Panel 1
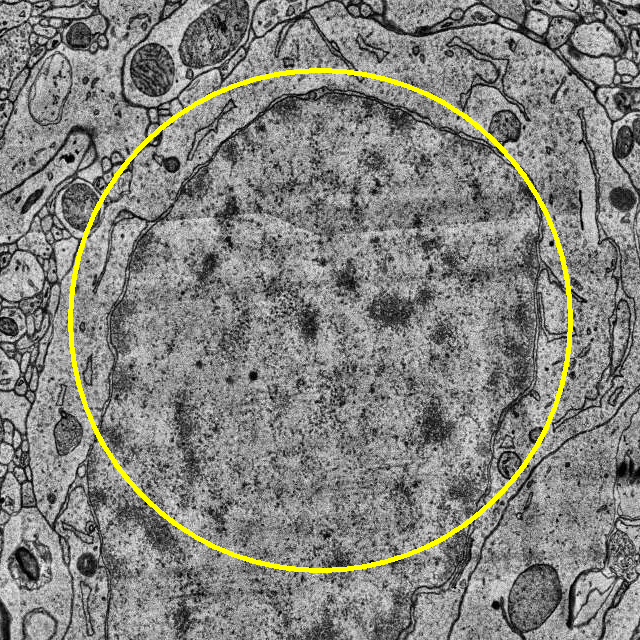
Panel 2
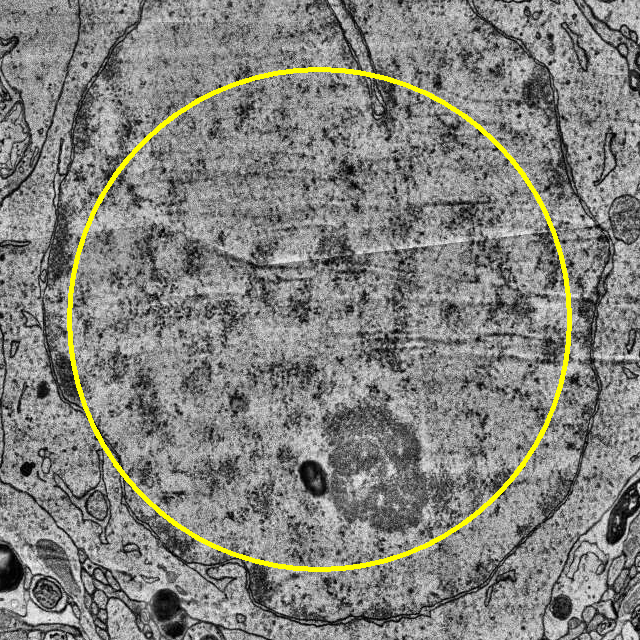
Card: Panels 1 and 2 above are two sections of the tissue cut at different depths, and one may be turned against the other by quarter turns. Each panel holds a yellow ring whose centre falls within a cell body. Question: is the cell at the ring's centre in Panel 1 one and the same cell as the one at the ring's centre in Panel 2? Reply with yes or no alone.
no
